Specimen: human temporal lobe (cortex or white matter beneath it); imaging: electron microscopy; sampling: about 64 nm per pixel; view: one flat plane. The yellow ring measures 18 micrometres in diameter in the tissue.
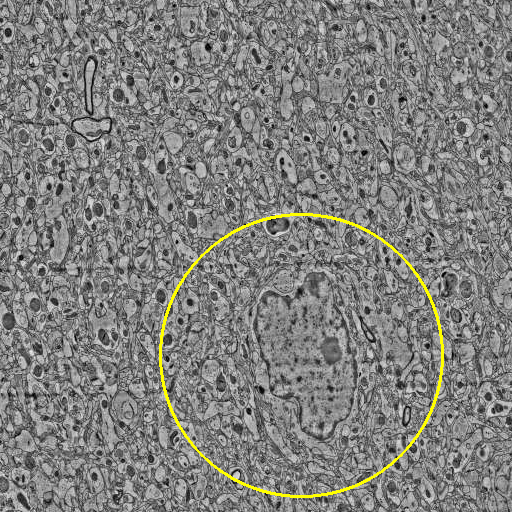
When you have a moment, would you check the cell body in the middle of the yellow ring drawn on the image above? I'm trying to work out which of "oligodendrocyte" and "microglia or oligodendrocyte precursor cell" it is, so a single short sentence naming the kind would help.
This cell body belongs to a microglial cell or oligodendrocyte precursor cell.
